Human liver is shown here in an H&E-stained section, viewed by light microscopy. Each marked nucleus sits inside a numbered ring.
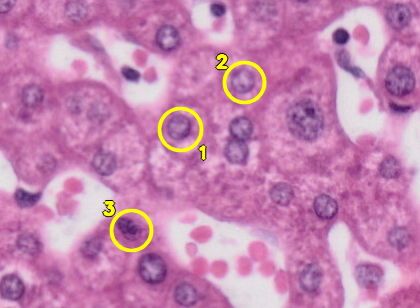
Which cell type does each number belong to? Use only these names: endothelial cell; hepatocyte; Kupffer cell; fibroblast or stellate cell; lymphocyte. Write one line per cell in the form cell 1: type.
cell 1: hepatocyte
cell 2: hepatocyte
cell 3: fibroblast or stellate cell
